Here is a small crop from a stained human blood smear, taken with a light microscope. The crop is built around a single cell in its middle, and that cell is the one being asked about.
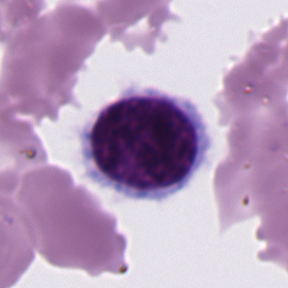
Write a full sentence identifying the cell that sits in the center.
The cell at the central position in this crop is a hairy cell.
